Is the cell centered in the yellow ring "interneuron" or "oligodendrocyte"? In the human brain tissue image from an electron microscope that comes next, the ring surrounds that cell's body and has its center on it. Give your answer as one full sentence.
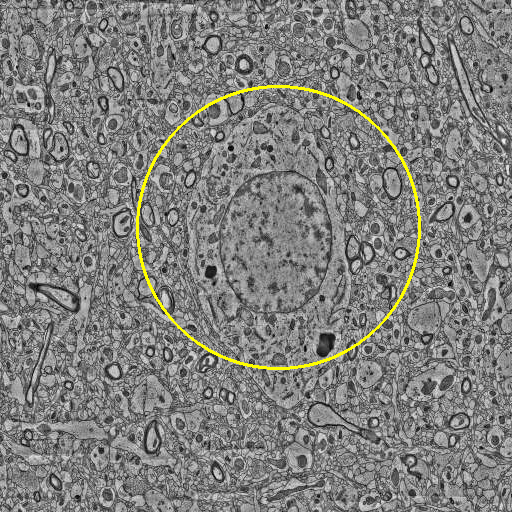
The cell at the center of the yellow ring is an interneuron in the micrograph.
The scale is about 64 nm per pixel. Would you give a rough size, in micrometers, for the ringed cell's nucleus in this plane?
The ringed cell's nucleus is about 10 micrometres long and 7 micrometres wide in this plane.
